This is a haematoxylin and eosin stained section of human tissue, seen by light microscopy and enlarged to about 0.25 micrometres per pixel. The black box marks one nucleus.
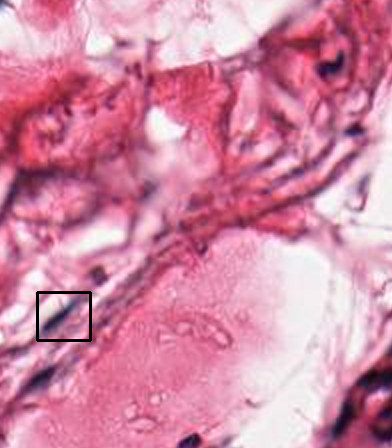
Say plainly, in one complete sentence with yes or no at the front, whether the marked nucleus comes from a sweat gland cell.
No, rather than a sweat gland cell, it is a supporting cell that contains the marked nucleus.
